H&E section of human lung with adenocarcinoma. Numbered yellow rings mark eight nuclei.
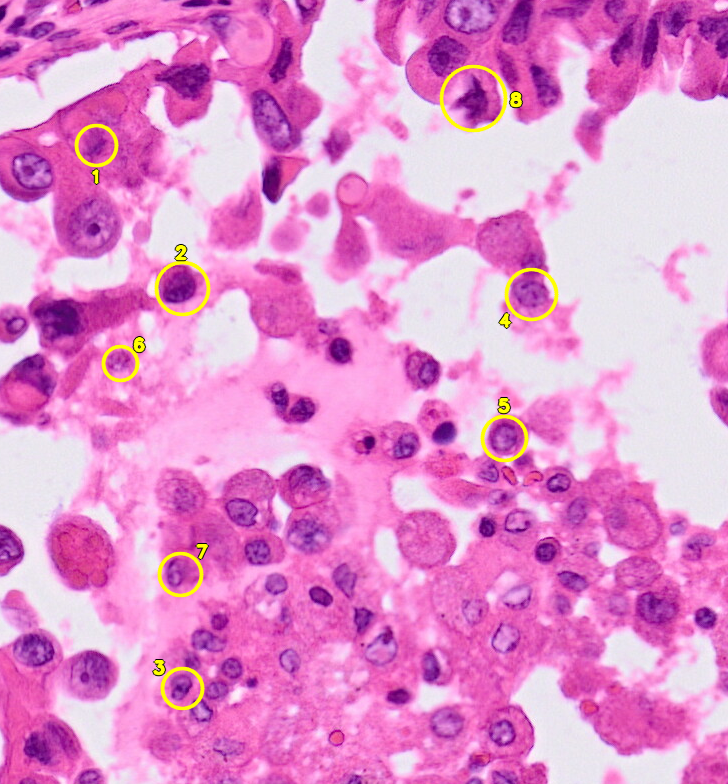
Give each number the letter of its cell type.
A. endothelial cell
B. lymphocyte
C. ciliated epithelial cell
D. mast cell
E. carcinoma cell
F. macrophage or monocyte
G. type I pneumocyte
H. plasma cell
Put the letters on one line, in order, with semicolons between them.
E; E; F; F; F; F; F; E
